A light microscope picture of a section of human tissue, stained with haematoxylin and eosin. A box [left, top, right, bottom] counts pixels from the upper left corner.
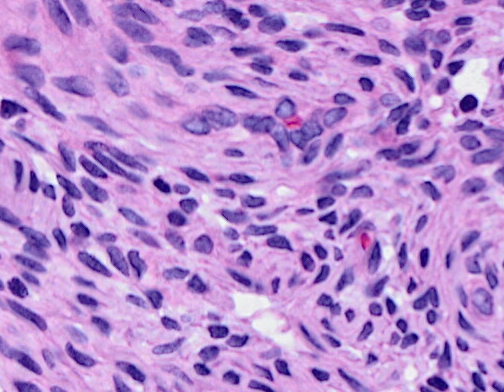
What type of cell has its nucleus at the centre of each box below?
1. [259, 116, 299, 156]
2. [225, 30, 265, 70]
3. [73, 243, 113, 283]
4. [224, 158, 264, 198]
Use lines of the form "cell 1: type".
cell 1: endothelial cell
cell 2: fibroblast
cell 3: fibroblast
cell 4: fibroblast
